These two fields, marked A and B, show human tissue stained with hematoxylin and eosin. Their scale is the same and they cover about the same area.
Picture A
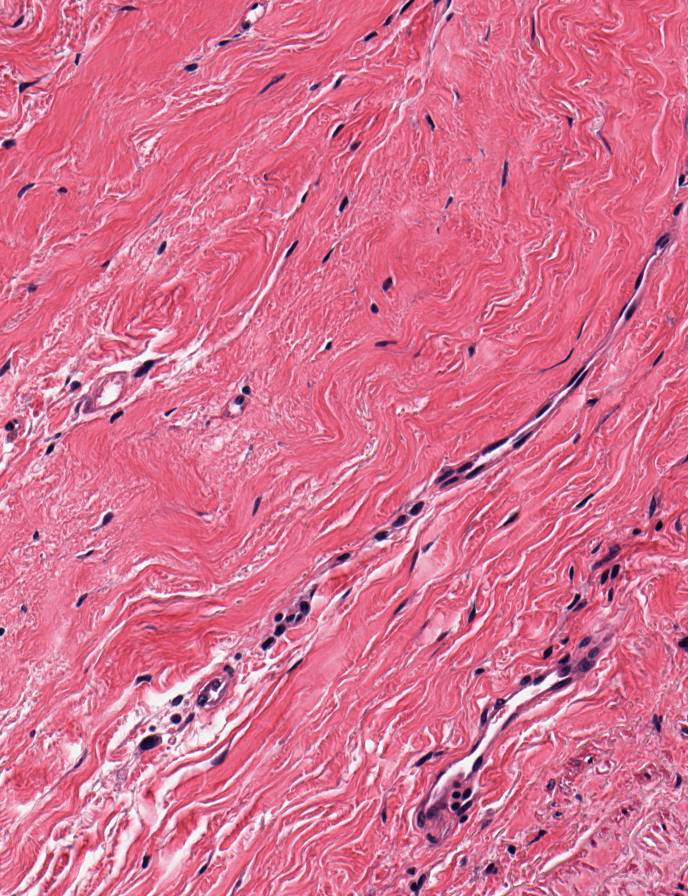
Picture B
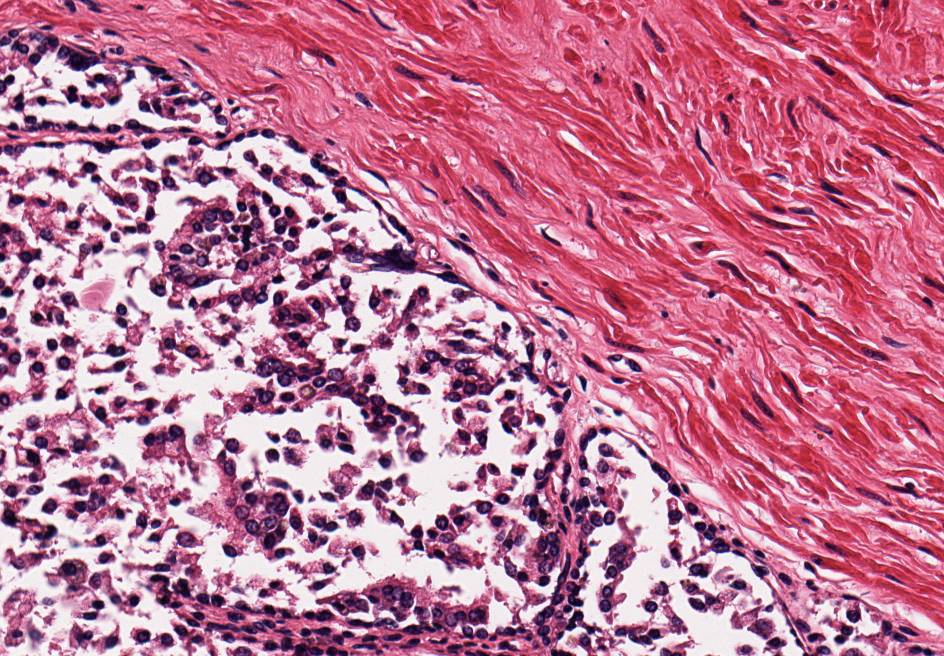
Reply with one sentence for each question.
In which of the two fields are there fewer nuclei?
It is picture A that has fewer nuclei in it.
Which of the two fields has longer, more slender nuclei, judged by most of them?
It is picture A whose nuclei are the more elongated.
